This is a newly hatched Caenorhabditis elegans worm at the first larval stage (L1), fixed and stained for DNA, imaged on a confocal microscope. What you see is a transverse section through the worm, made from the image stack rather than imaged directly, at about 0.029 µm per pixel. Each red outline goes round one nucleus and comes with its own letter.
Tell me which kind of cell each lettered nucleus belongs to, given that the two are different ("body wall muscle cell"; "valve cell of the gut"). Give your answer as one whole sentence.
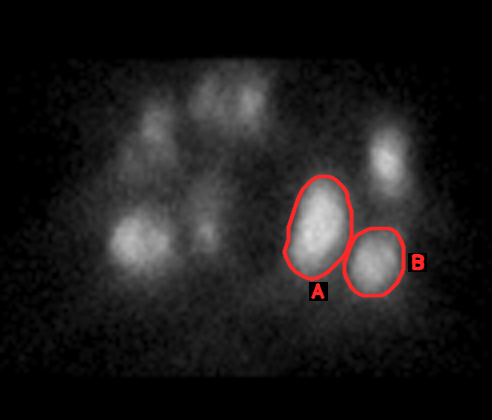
A is in a valve cell of the gut and B is in a body wall muscle cell.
